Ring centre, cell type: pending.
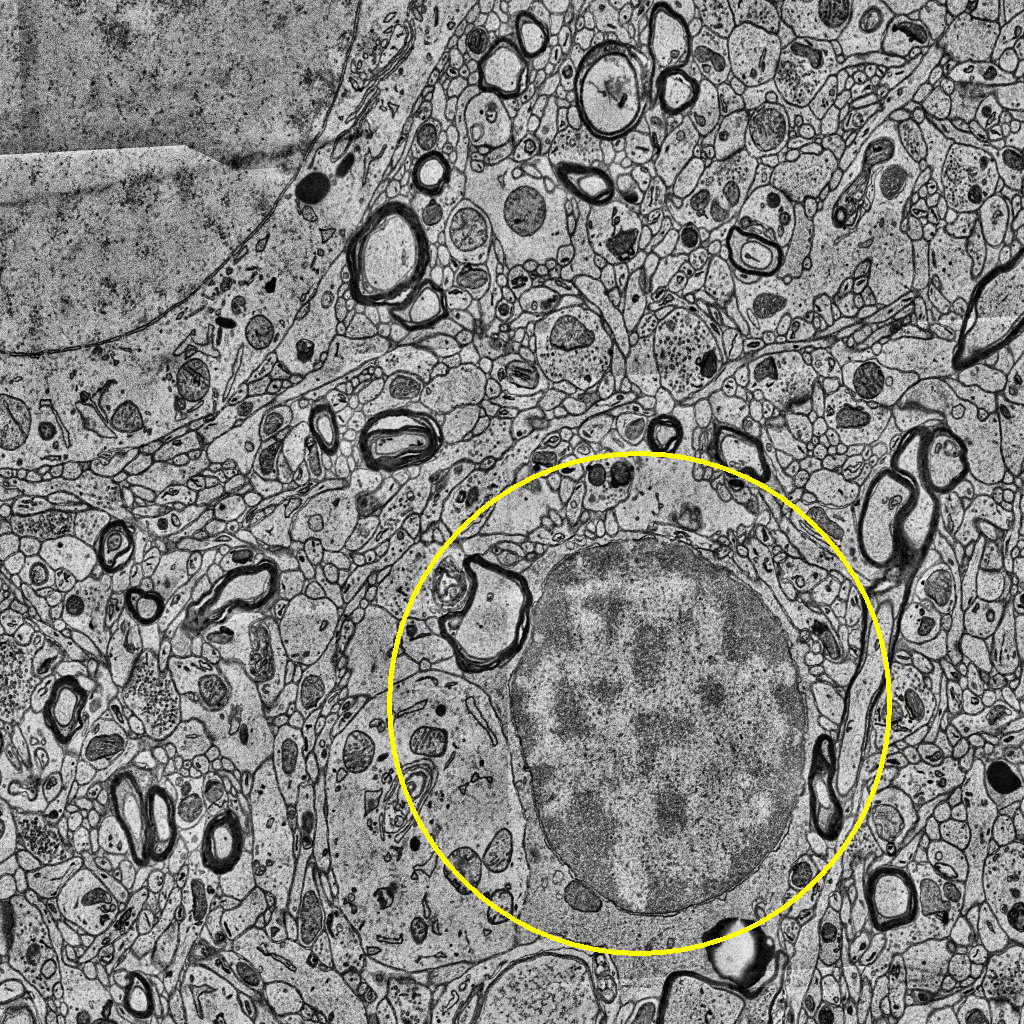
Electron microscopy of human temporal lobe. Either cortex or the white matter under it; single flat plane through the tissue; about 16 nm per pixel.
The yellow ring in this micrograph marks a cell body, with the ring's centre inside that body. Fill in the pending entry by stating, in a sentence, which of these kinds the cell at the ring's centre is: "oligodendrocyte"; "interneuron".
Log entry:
The cell at the ring's centre is recorded as an oligodendrocyte.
